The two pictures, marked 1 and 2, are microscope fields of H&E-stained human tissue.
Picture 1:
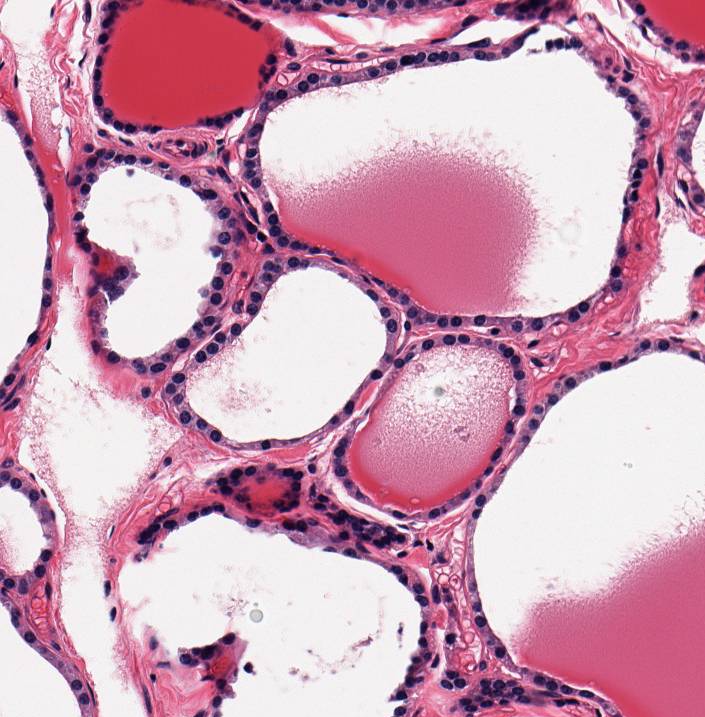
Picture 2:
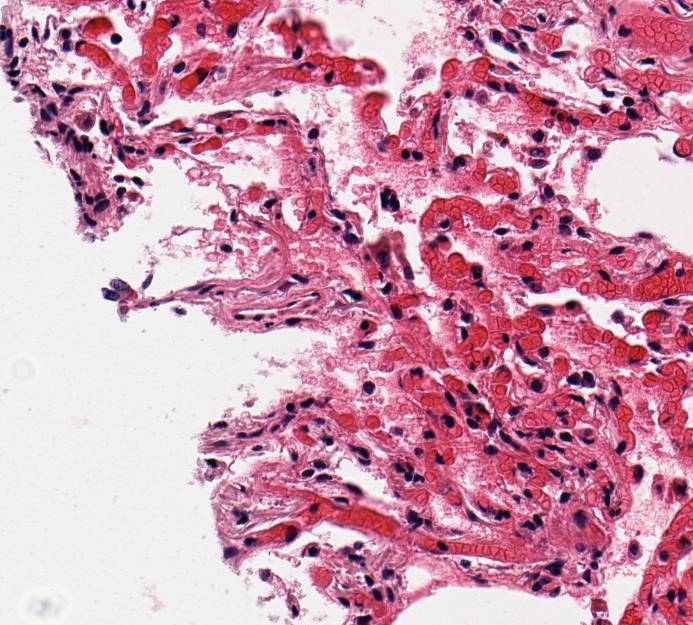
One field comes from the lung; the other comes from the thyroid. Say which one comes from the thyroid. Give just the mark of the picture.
1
